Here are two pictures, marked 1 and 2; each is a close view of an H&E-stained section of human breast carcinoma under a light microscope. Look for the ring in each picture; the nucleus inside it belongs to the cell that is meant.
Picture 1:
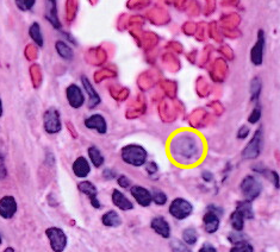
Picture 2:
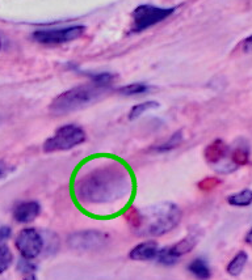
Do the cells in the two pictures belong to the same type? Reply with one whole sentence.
Yes, the two pictures both show endothelial cells.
